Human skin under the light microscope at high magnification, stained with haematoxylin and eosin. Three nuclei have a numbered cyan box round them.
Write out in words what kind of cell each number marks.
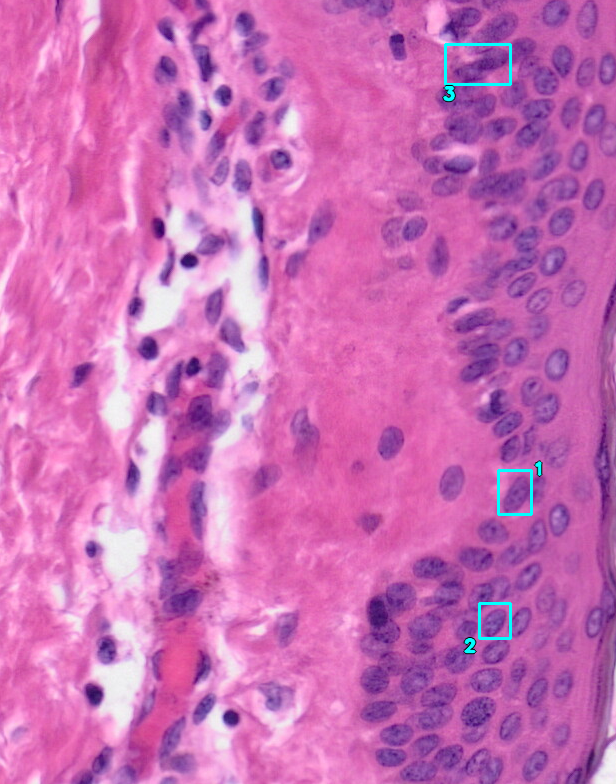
Cell 1 is a basal keratinocyte, cell 2 is a suprabasal keratinocyte and cell 3 is a basal keratinocyte.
